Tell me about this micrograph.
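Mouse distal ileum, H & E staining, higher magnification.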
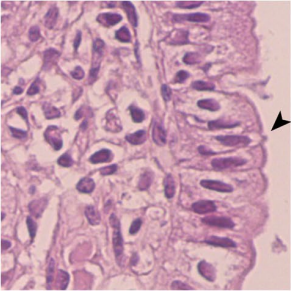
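This is the edge of an intestinal villus, with a single layer of tall columnar epithelial cells whose elongated, dark purple nuclei lie in a row near the base and whose pale pink cytoplasm extends up to a brush-bordered apical surface. Beneath the epithelium lies the loose connective tissue core of the villus with scattered rounded and irregular nuclei.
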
